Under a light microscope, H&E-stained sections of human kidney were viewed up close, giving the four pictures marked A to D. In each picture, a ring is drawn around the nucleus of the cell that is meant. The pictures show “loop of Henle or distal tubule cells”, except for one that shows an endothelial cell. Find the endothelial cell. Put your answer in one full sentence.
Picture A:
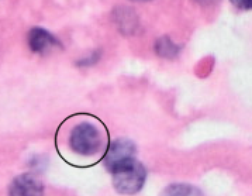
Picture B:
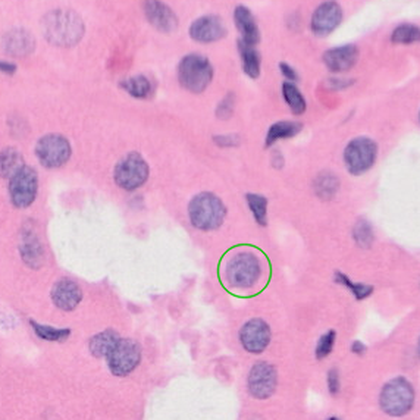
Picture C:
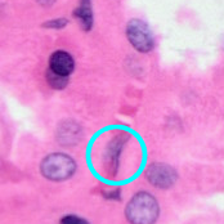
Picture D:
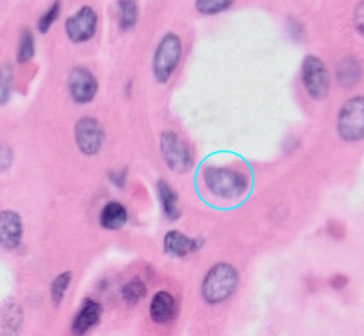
Picture C shows the endothelial cell.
